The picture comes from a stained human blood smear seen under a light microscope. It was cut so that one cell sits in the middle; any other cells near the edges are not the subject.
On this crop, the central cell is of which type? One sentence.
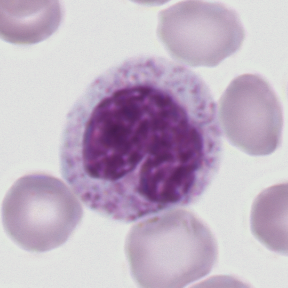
On this slide crop, the central cell is a band neutrophil.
